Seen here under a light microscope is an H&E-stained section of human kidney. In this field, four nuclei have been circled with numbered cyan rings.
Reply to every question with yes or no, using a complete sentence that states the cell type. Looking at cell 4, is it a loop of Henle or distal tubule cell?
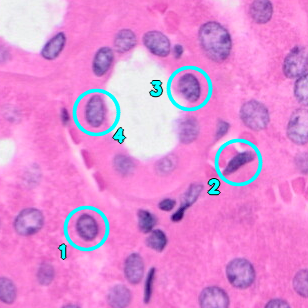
Yes, the marked cell number 4 is a loop of Henle or distal tubule cell.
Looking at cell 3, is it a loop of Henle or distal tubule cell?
Yes, the cell at the mark numbered 3 is a loop of Henle or distal tubule cell.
